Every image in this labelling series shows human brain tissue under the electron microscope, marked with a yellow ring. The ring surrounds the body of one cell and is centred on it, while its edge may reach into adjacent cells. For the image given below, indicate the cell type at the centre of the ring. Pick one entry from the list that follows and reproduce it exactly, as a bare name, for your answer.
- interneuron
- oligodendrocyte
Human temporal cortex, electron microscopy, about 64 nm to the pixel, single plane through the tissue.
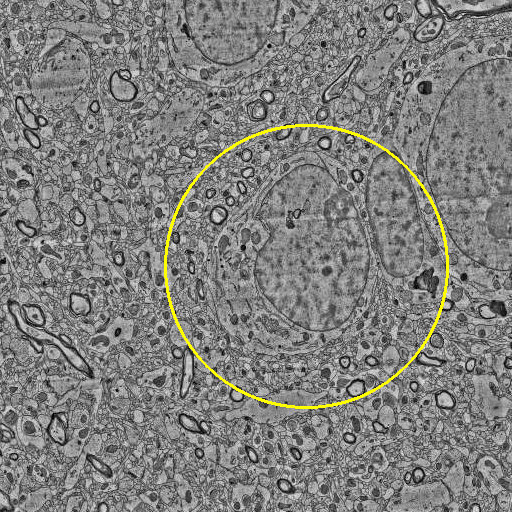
interneuron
